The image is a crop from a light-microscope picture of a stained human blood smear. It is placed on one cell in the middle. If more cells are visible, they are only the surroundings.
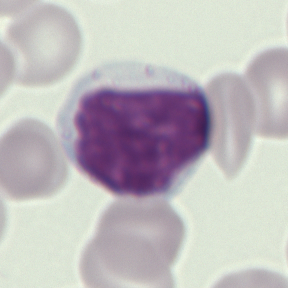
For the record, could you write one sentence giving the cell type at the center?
Framed in the middle of the crop is a large granular lymphocyte.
